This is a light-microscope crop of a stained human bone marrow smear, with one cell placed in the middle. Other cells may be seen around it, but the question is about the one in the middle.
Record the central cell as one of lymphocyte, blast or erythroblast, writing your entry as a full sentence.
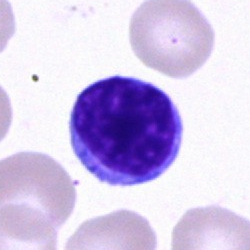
Classification of the middle cell gives a lymphocyte.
